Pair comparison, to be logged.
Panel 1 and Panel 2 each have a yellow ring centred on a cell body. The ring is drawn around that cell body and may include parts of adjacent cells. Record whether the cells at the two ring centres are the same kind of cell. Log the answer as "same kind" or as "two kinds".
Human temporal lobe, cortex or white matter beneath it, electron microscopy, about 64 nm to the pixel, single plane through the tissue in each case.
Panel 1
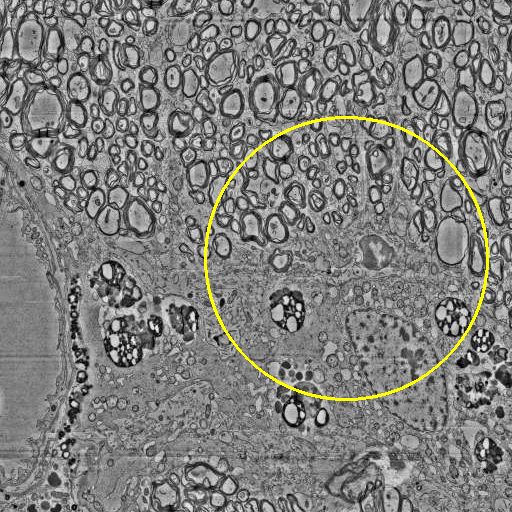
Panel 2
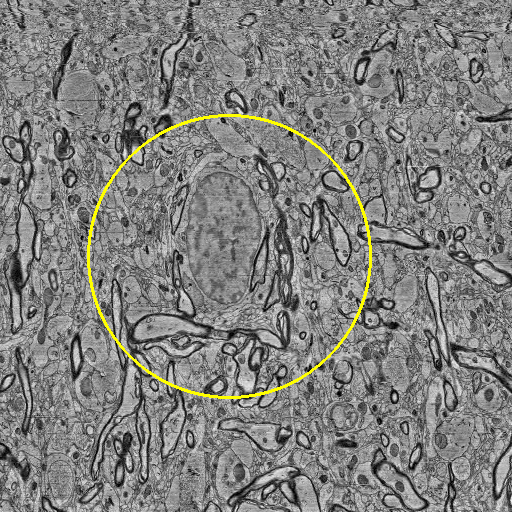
two kinds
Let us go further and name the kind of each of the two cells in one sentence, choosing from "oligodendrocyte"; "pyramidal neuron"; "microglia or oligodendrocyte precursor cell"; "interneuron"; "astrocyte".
The ring of the first picture is on a microglial cell or oligodendrocyte precursor cell, the ring of the second on an oligodendrocyte.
